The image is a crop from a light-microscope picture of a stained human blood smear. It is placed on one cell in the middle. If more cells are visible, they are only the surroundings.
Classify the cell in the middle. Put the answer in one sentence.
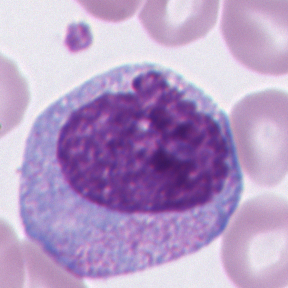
The middle cell in this particular crop is a promyelocyte.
